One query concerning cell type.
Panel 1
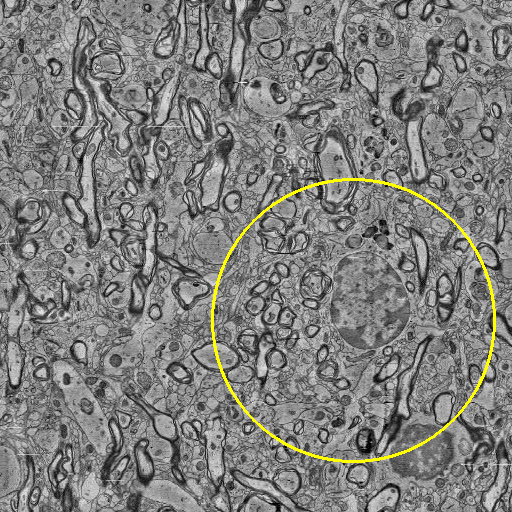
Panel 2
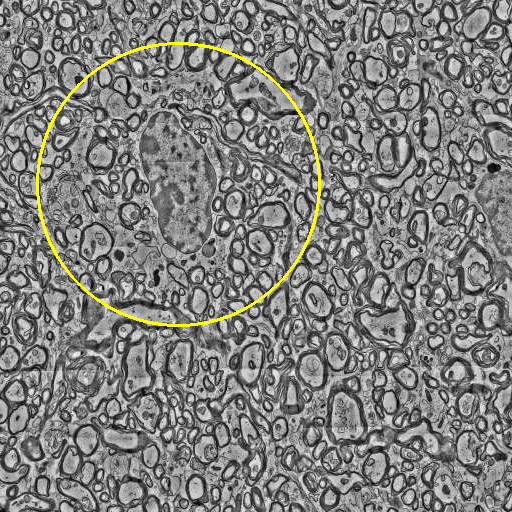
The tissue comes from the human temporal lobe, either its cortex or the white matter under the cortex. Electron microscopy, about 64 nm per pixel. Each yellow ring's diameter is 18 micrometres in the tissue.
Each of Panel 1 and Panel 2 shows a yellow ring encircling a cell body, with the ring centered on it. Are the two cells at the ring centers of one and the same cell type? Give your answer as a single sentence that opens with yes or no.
Yes, the cell centered in Panel 1 and the one in Panel 2 share a type.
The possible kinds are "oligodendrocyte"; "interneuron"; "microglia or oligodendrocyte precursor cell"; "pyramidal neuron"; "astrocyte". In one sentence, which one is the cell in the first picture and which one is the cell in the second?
Each of the two cells is a microglial cell or oligodendrocyte precursor cell.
